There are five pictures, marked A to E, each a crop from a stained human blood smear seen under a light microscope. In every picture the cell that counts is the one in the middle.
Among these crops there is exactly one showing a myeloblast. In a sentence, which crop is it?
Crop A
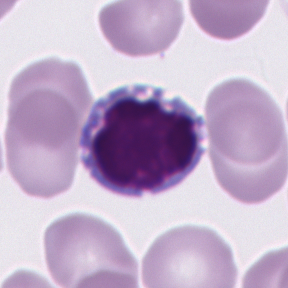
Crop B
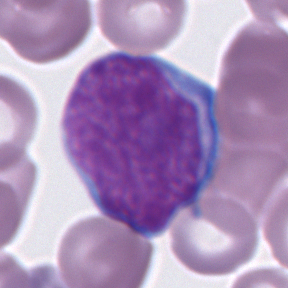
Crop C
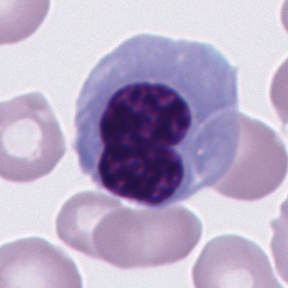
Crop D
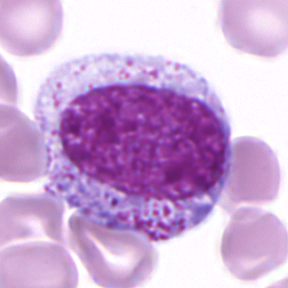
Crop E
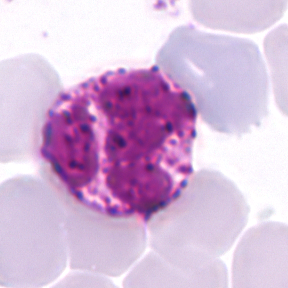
Only in crop B is a myeloblast shown.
